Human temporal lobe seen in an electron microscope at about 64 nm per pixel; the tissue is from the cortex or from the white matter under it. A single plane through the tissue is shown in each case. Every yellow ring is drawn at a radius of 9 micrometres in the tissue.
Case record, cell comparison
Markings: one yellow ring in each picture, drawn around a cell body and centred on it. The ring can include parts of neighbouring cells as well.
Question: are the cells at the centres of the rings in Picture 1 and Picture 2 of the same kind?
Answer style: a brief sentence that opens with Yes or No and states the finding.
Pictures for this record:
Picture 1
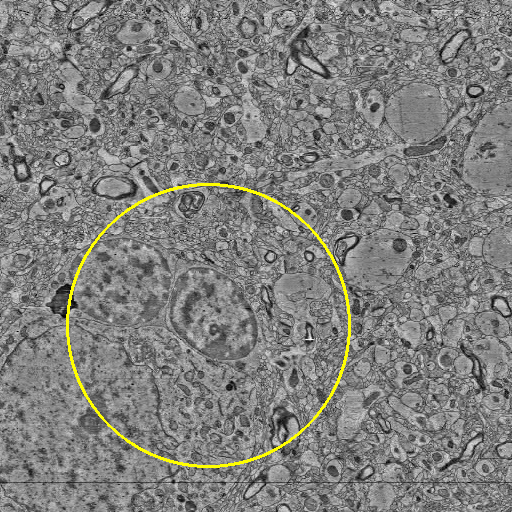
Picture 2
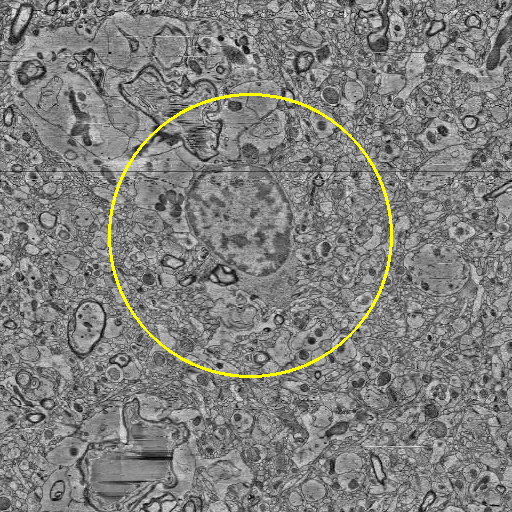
Yes, the cells in Picture 1 and Picture 2 are of the same kind.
